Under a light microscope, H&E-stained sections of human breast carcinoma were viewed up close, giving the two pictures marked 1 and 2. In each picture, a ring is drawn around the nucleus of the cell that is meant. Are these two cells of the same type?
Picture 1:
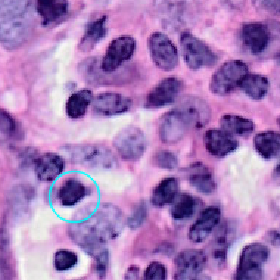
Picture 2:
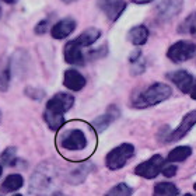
yes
